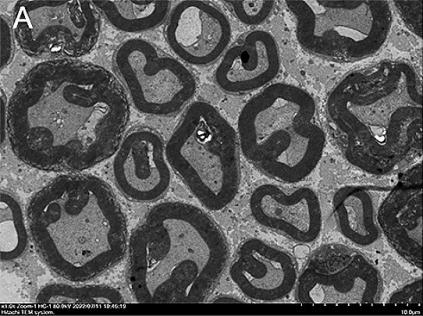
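A cross-section of peripheral nerve showing numerous myelinated fibers packed closely together. The fibers are large, and many have irregular, folded or kidney-like outlines rather than perfect circles. A few cores contain small pale or dark inclusions. Between the fibers lies a narrow, lighter grey matrix with scattered small dark dots. No unmyelinated regions or cell bodies dominate the field; the myelinated profiles fill most of the image.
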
